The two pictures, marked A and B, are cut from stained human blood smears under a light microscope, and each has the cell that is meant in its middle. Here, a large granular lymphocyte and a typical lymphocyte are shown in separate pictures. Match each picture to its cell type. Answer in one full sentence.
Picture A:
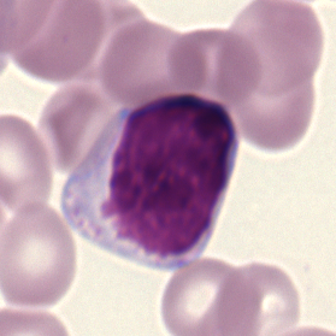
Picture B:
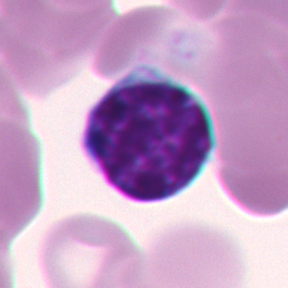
Picture A shows a large granular lymphocyte and picture B shows a typical lymphocyte.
